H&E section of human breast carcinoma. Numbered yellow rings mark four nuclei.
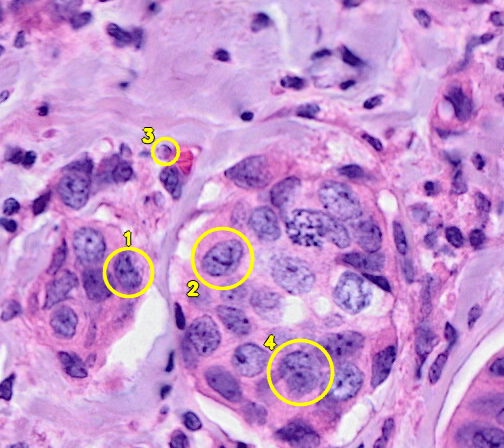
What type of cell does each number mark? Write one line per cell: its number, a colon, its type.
1: carcinoma cell
2: carcinoma cell
3: endothelial cell
4: carcinoma cell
